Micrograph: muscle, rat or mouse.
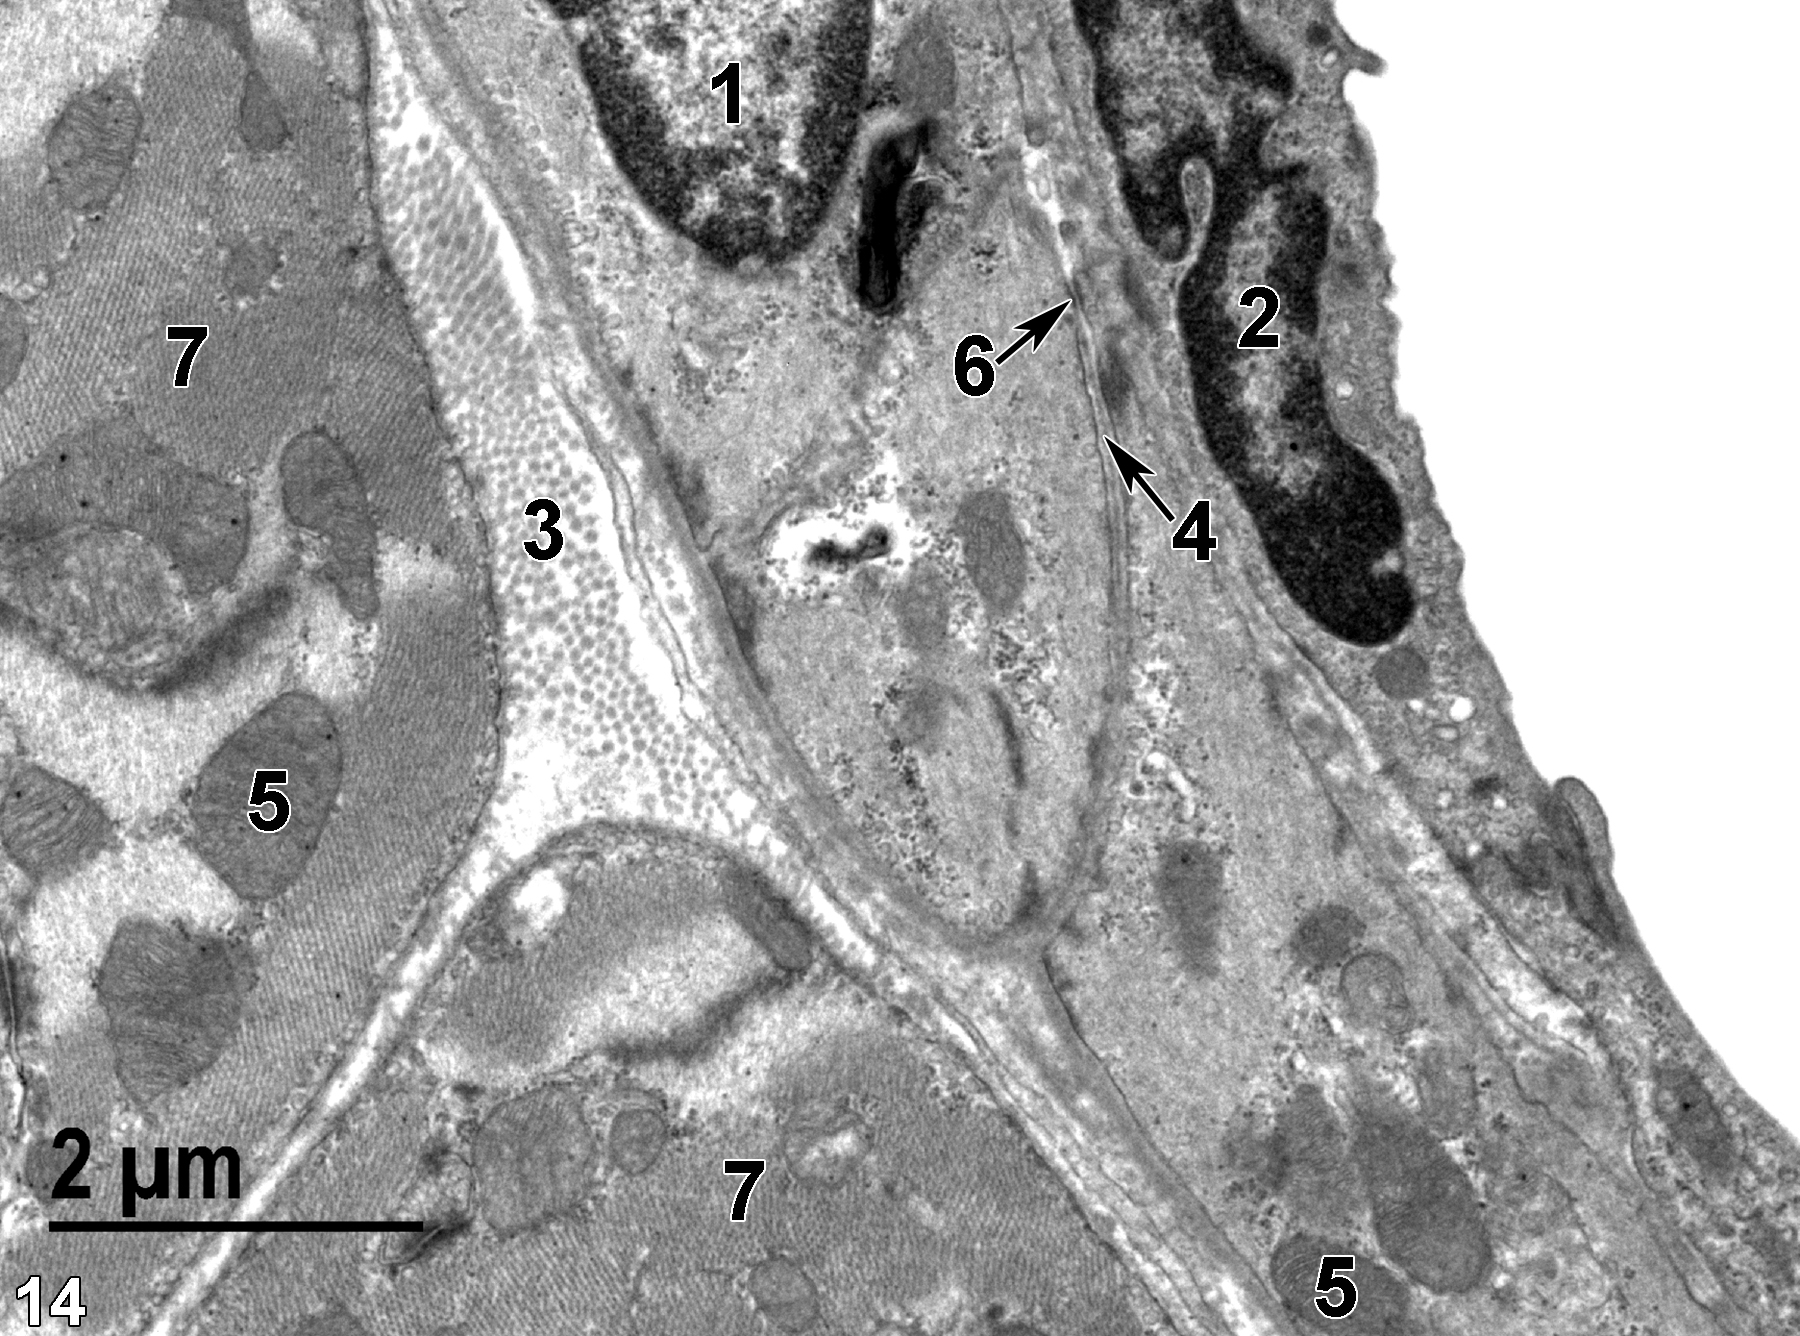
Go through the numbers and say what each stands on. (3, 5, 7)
3 collagen fibrils
5 mitochondria
7 striated cardiac myocytes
